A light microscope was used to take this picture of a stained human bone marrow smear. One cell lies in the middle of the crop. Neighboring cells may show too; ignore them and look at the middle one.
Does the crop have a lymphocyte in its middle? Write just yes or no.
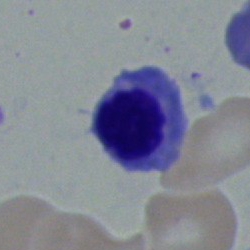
no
